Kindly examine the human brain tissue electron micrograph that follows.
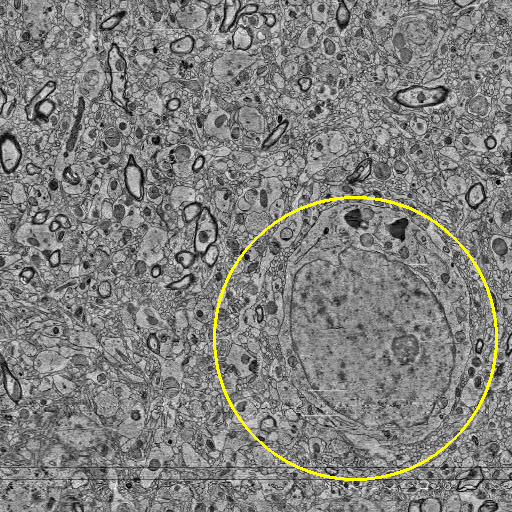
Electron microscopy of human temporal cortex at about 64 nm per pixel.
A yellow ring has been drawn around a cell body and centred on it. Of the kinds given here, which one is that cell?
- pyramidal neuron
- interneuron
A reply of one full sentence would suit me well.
The micrograph's ringed cell, the one at the ring's centre, is an interneuron.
